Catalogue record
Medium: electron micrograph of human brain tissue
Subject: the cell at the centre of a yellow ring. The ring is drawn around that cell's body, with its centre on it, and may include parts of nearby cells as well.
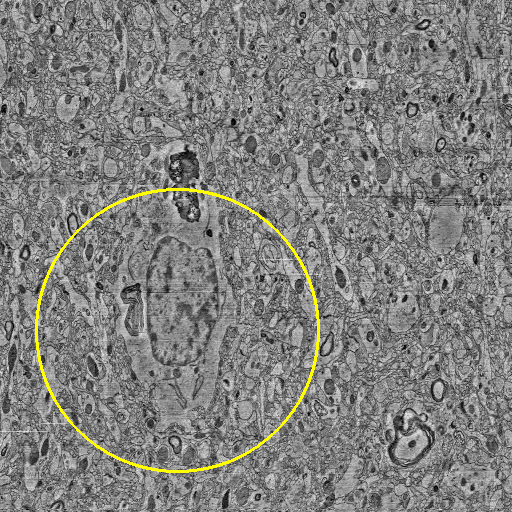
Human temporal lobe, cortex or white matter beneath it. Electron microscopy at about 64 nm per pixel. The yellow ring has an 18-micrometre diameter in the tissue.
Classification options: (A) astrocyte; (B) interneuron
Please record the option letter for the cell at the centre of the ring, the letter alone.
A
